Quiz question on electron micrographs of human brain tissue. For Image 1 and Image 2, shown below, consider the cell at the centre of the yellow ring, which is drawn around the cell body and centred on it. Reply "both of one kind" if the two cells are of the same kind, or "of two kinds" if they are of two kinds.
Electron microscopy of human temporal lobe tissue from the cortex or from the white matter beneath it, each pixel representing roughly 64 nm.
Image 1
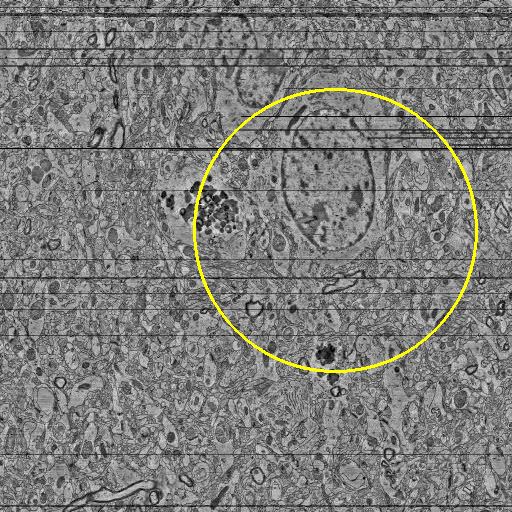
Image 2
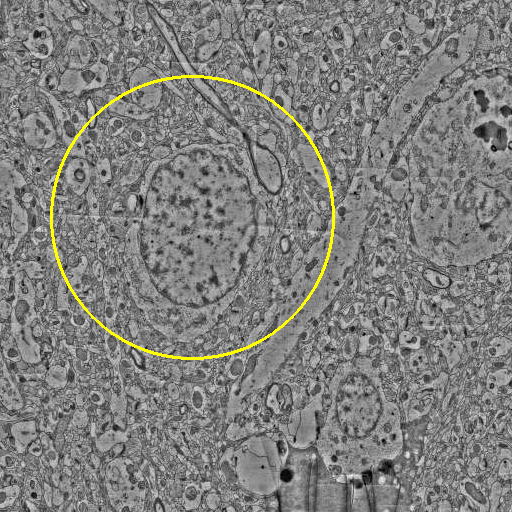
of two kinds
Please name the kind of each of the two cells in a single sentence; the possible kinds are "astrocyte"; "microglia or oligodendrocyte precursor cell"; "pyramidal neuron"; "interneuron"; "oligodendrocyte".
In the first picture the ring is centred on an astrocyte, and in the second on an interneuron.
